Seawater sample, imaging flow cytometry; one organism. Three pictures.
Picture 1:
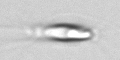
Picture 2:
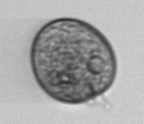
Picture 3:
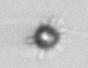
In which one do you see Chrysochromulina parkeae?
In picture 1.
